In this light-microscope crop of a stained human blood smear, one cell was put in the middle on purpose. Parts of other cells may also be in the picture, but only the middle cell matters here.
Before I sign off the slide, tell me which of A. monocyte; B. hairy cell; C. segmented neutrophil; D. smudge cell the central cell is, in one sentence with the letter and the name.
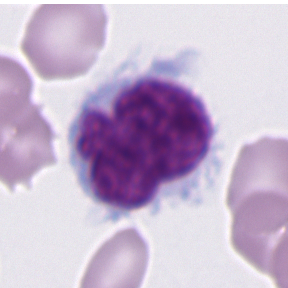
That middle cell is a hairy cell, and option B is therefore correct.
